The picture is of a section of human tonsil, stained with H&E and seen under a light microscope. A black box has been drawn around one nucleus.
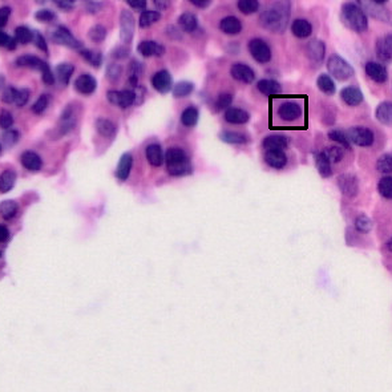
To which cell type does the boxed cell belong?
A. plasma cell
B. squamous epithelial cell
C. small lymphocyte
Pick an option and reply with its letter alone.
A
